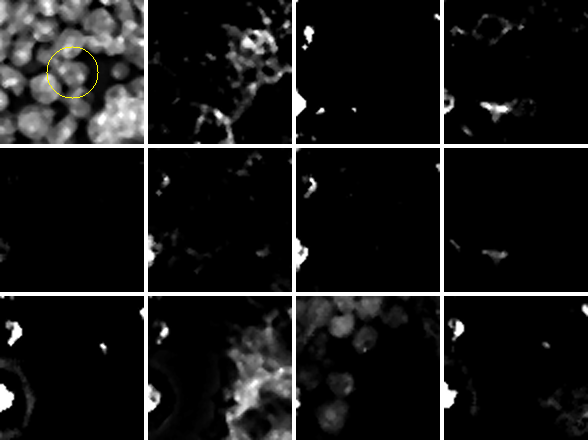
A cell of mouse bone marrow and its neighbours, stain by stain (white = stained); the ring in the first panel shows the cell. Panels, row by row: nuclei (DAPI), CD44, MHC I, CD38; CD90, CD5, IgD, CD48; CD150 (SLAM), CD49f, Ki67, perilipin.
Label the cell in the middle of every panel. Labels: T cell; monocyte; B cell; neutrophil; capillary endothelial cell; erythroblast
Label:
neutrophil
